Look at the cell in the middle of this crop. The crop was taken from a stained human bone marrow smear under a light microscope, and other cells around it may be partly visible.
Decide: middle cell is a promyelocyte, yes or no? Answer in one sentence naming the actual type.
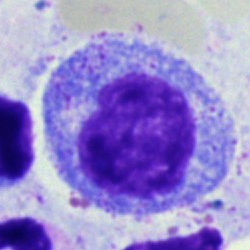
Yes, the cell that occupies the centre is a promyelocyte.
